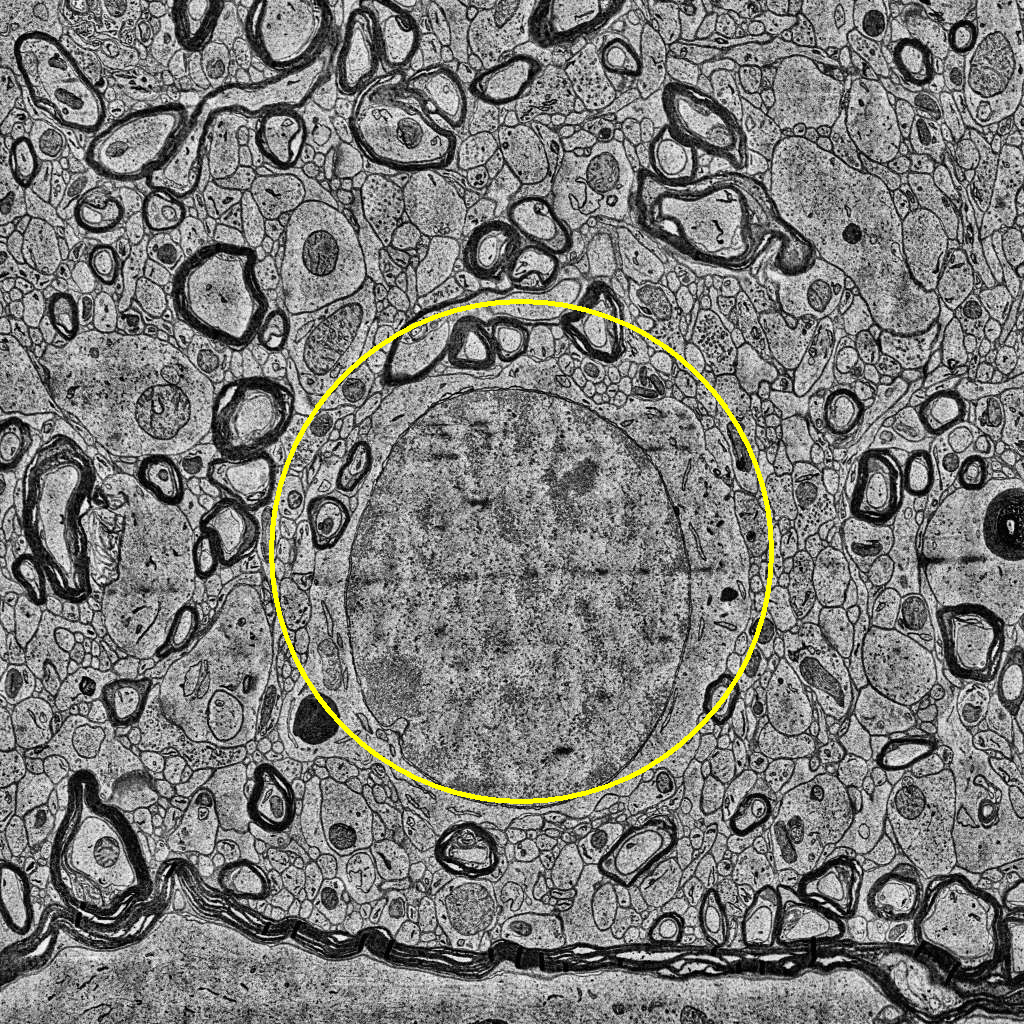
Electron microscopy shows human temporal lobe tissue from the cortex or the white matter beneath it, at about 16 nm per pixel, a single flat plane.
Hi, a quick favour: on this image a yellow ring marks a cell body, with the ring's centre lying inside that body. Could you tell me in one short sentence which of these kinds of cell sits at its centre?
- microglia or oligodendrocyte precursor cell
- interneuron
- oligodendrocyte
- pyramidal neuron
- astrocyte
The ring's centre lies in a microglial cell or oligodendrocyte precursor cell.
